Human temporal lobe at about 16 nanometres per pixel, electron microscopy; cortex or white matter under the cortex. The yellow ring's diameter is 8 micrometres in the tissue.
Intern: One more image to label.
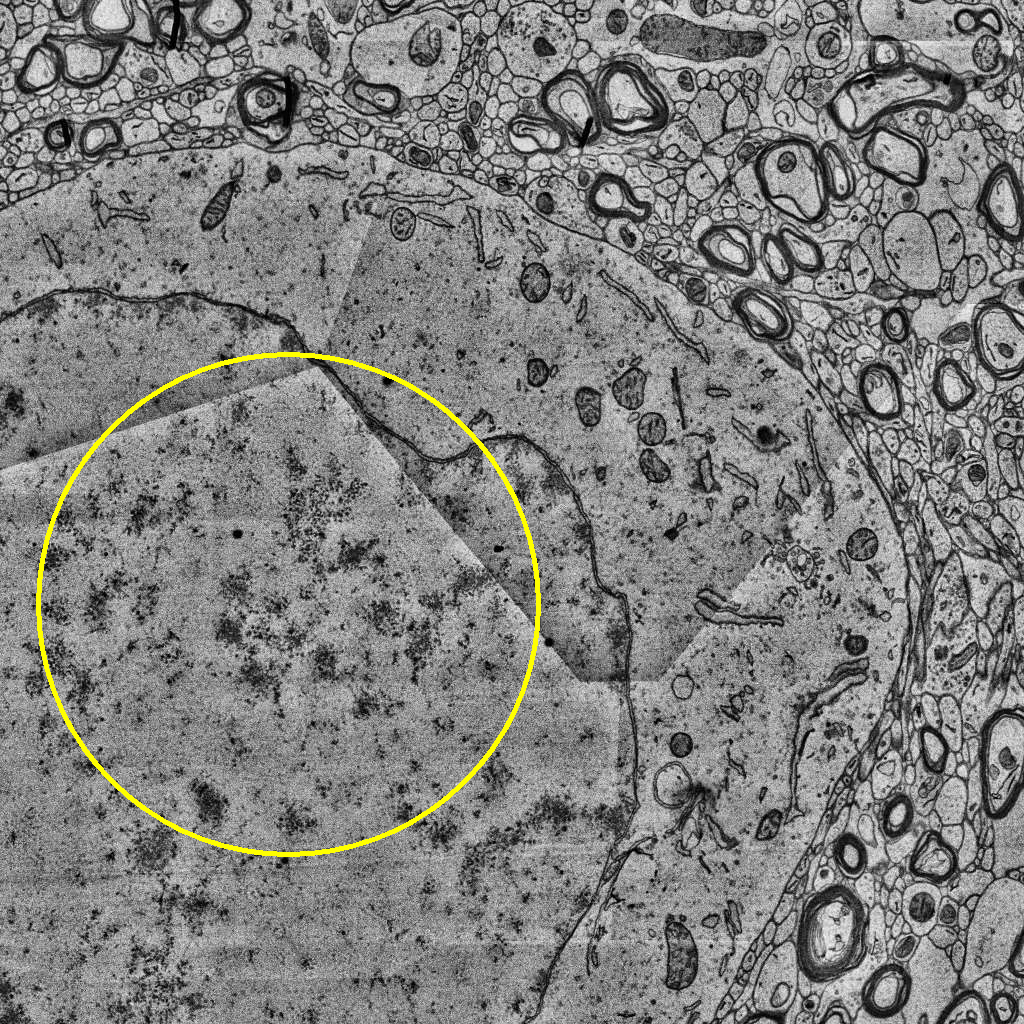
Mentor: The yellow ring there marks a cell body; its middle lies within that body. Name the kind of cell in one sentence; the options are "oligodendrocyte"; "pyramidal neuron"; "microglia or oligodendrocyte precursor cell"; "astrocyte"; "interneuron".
The ring marks the cell body of a pyramidal neuron.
